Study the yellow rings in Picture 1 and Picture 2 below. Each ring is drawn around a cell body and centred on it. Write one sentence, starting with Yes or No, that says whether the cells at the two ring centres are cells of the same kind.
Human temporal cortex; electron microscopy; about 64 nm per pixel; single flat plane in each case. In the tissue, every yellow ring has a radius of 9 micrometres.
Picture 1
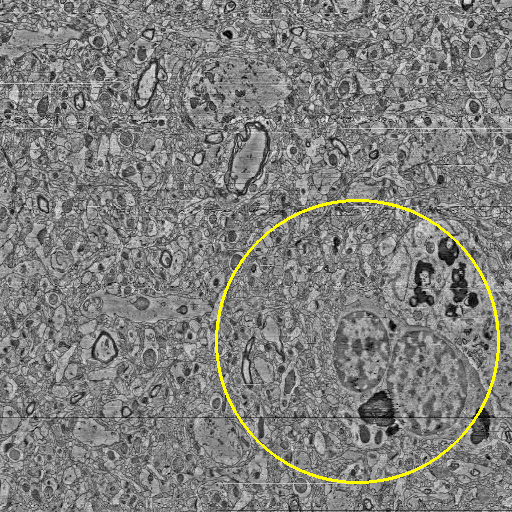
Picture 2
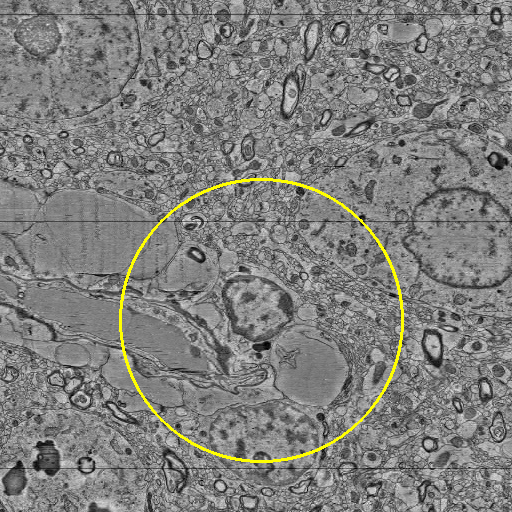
No, the cells at the ring centres are of two kinds.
